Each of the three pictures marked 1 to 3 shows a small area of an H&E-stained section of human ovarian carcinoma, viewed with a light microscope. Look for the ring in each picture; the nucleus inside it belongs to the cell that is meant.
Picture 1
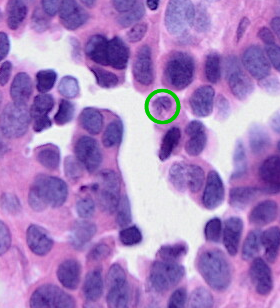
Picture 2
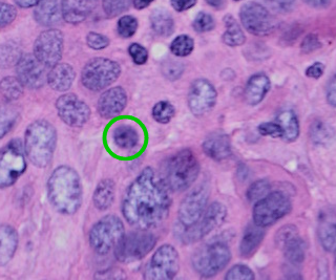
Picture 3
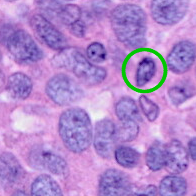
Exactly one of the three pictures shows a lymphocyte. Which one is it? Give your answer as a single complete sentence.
The cell in picture 2 is the lymphocyte.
